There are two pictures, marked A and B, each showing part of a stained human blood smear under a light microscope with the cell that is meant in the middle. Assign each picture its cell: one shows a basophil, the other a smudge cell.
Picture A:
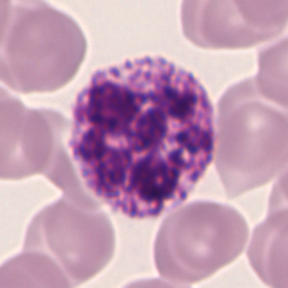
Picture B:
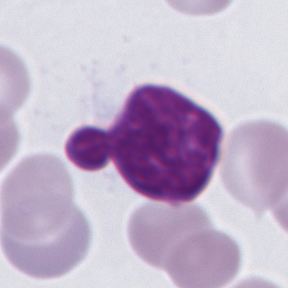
A: basophil
B: smudge cell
